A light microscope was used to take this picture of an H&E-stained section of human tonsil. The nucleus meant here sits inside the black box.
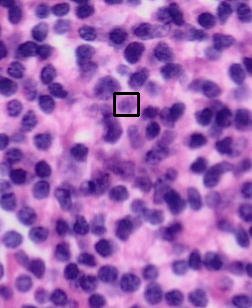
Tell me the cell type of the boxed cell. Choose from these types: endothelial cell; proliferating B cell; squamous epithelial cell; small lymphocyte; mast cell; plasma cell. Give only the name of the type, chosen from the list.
proliferating B cell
